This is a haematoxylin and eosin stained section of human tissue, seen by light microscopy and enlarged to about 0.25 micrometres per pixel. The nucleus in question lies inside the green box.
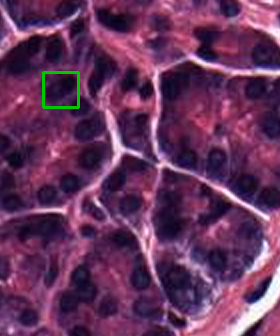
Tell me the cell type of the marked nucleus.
pancreatic acinar cell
